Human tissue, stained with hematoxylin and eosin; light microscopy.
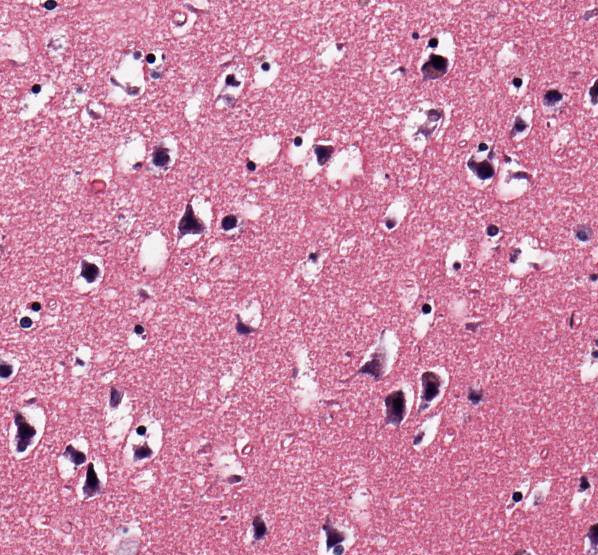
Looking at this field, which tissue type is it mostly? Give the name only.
cerebral cortex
